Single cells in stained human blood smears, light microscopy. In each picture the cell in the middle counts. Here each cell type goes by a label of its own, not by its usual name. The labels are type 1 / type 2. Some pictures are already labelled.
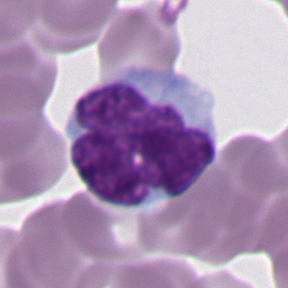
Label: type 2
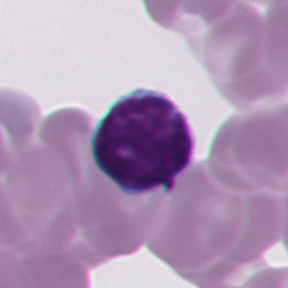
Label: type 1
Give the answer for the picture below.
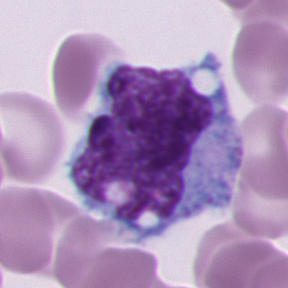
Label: type 2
